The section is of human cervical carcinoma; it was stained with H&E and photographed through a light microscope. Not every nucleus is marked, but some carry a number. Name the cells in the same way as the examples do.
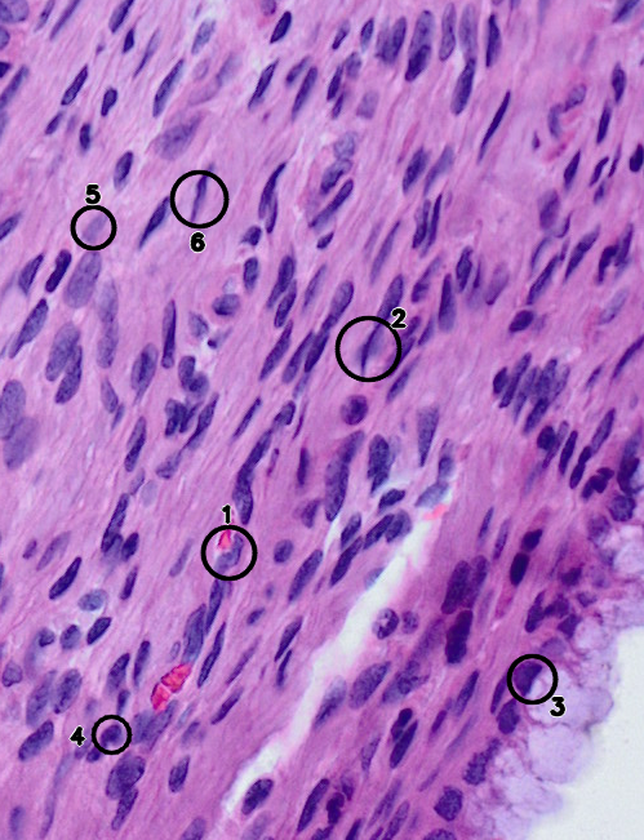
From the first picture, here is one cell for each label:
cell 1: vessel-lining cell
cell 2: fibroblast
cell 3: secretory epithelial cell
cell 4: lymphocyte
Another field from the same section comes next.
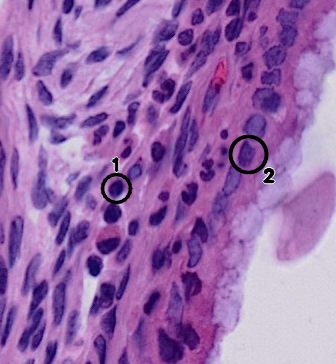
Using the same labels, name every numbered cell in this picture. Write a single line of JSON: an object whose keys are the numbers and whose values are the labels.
{"1": "lymphocyte", "2": "secretory epithelial cell"}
